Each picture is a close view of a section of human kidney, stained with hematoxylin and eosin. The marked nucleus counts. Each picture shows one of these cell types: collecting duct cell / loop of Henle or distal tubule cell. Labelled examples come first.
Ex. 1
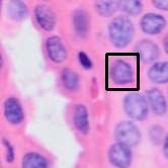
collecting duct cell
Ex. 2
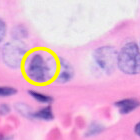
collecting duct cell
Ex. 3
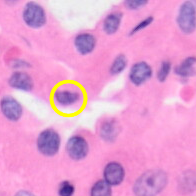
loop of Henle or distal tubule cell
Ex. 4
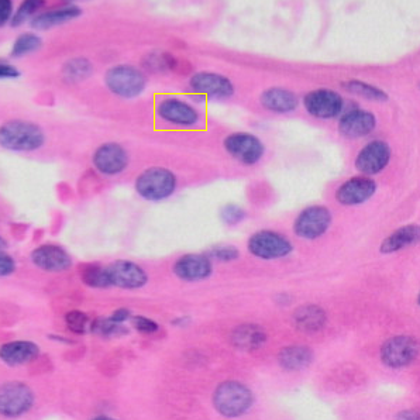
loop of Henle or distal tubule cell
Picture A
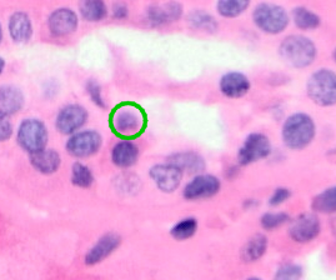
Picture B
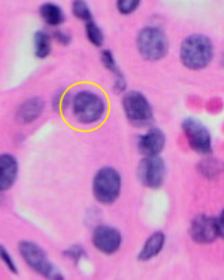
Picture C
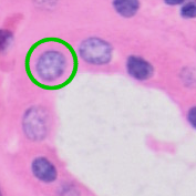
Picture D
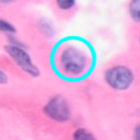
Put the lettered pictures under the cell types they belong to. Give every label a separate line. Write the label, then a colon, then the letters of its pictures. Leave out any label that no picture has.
collecting duct cell: A, B
loop of Henle or distal tubule cell: C, D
